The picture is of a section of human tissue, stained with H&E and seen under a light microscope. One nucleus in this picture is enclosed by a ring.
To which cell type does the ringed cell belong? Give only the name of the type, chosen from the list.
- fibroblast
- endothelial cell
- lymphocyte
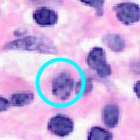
lymphocyte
